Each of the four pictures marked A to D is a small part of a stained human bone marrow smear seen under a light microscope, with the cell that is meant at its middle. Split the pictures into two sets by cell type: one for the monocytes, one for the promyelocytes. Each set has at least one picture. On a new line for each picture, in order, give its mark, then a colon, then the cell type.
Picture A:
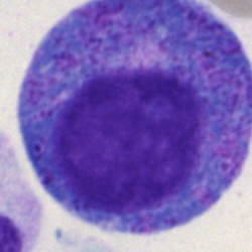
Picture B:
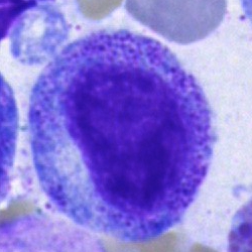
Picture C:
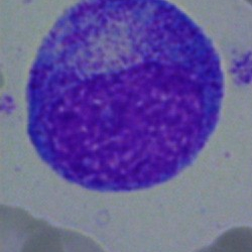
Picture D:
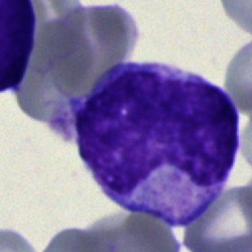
A: promyelocyte
B: promyelocyte
C: promyelocyte
D: monocyte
